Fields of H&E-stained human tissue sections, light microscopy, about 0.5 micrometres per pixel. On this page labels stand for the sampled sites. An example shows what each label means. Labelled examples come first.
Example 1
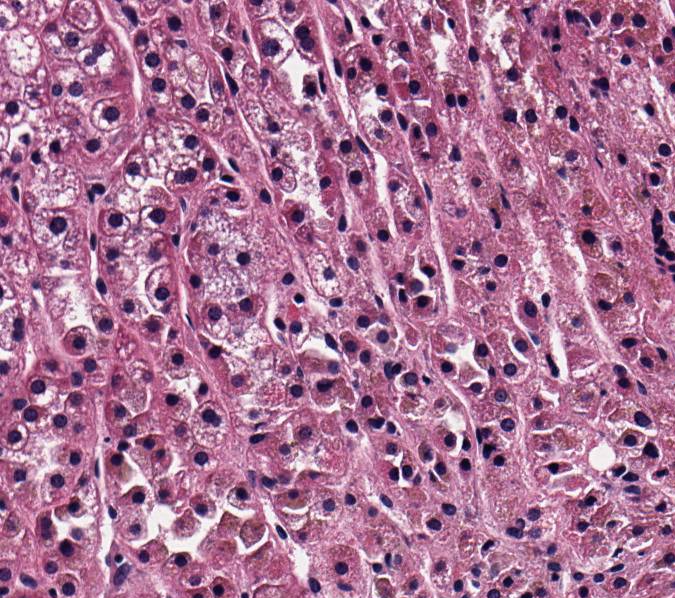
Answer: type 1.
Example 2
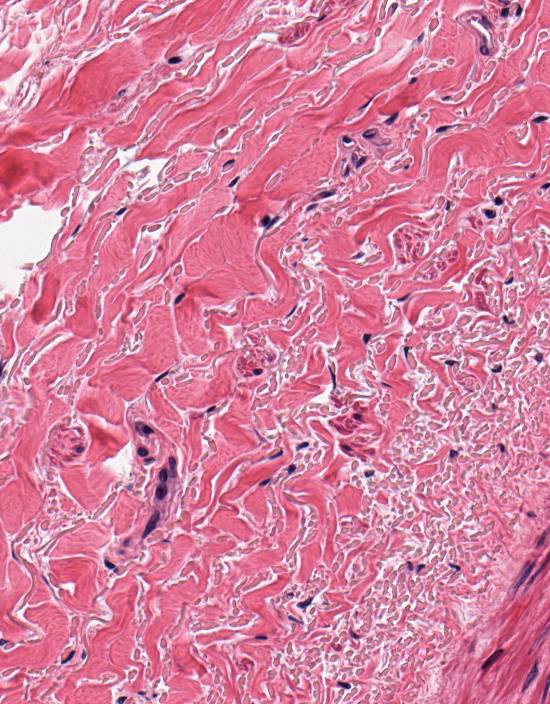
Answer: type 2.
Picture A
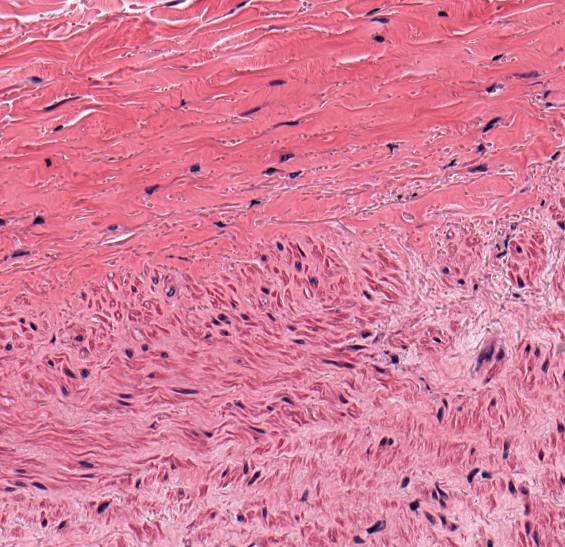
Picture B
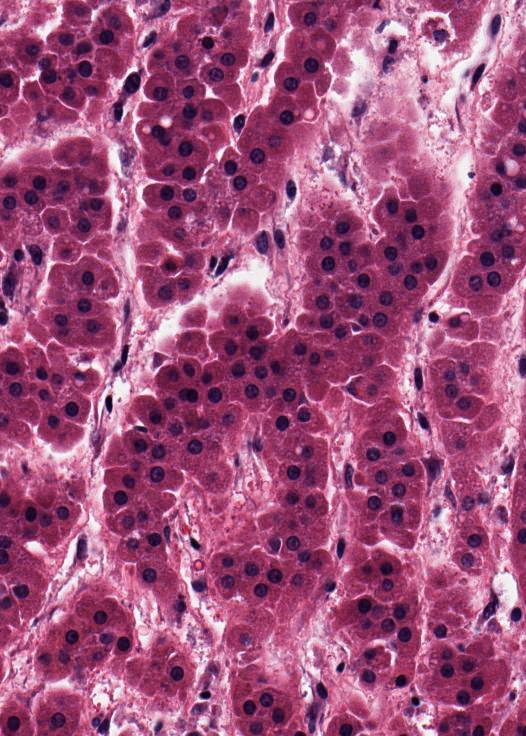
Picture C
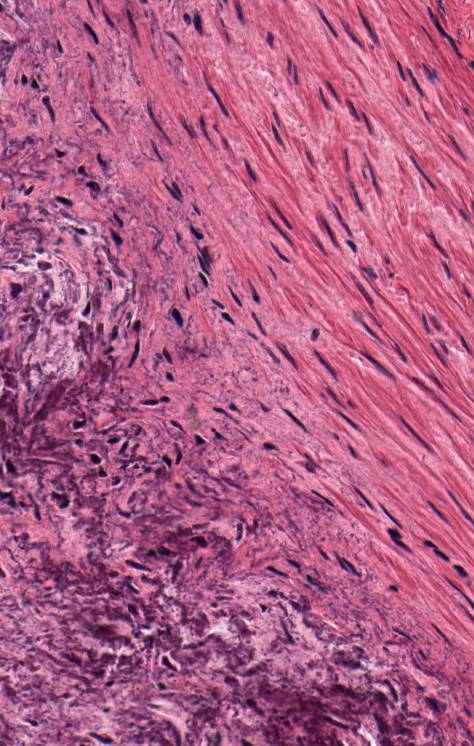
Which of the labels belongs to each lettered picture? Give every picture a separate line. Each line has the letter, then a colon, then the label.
A: type 2.
B: type 1.
C: type 2.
